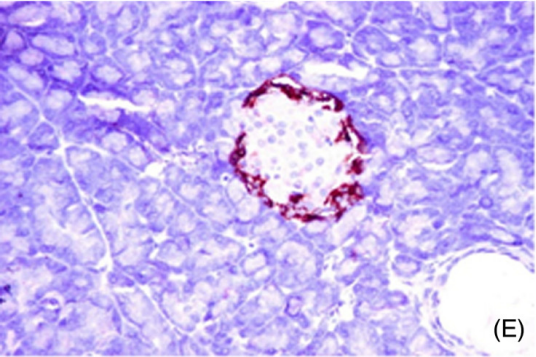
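A rounded islet lies in the centre of the field, embedded among densely packed glandular units whose cells stain purple with the counterstain. The islet is sharply set off from the surrounding glandular tissue, and a thin strand of connective tissue and a clear empty space, probably a vessel or duct lumen, lie nearby at the lower right.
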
